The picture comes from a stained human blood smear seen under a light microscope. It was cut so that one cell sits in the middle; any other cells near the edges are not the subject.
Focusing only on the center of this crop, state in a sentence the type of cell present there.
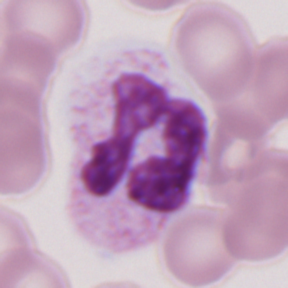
This crop is built around a segmented neutrophil at its centre.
